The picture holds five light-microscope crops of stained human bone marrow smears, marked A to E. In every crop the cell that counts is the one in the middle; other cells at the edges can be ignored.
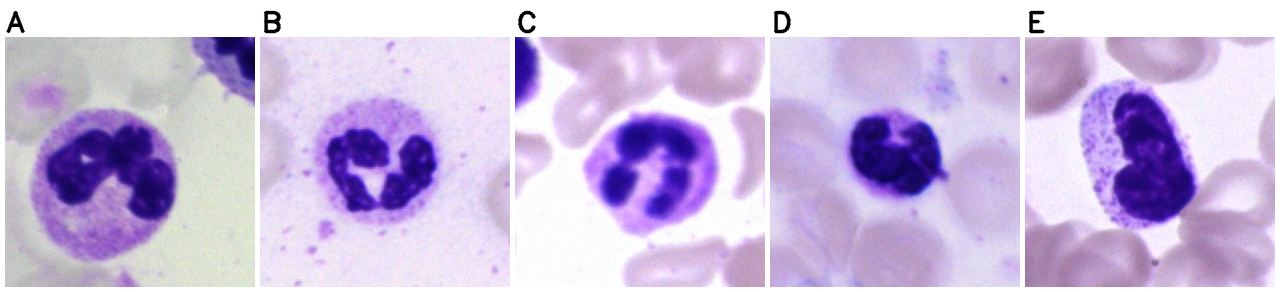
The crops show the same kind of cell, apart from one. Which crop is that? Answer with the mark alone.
E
